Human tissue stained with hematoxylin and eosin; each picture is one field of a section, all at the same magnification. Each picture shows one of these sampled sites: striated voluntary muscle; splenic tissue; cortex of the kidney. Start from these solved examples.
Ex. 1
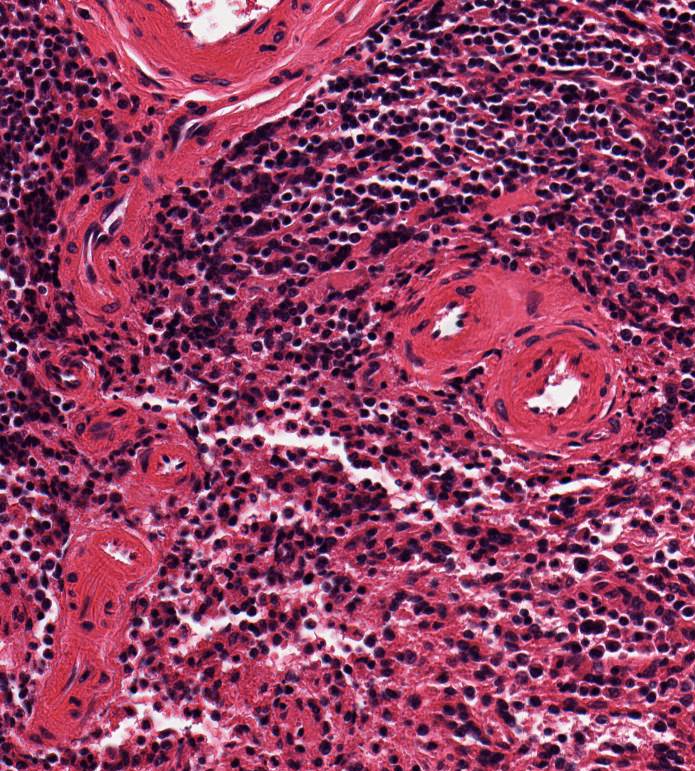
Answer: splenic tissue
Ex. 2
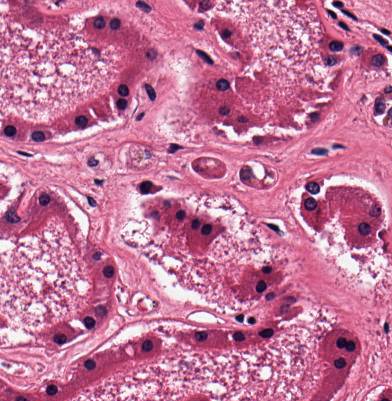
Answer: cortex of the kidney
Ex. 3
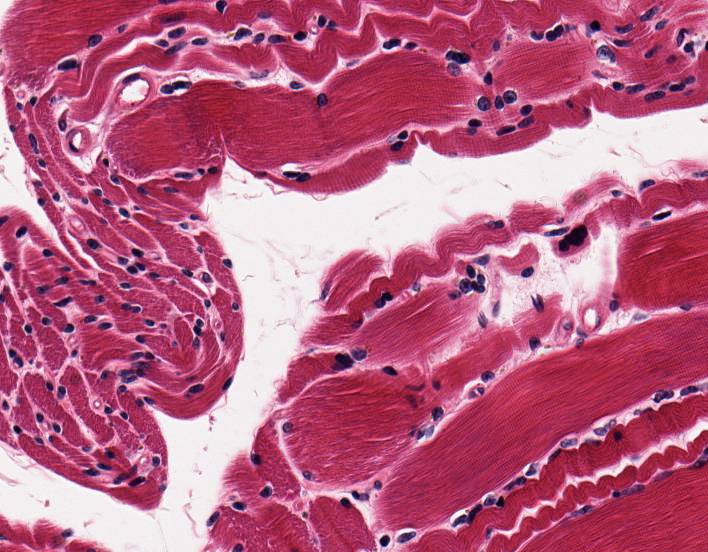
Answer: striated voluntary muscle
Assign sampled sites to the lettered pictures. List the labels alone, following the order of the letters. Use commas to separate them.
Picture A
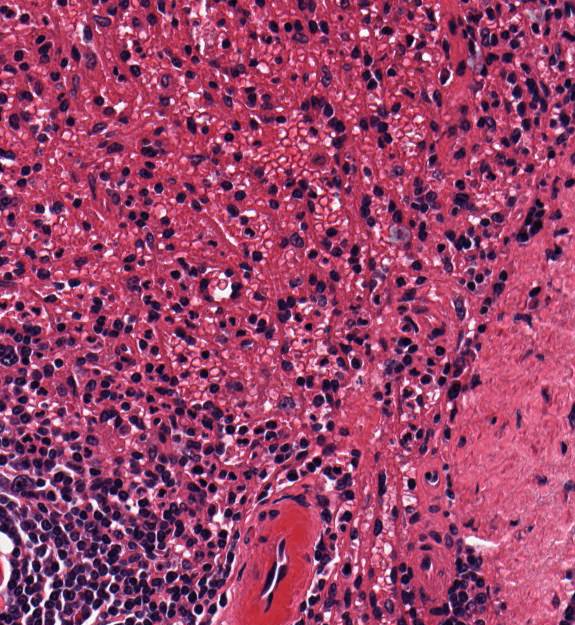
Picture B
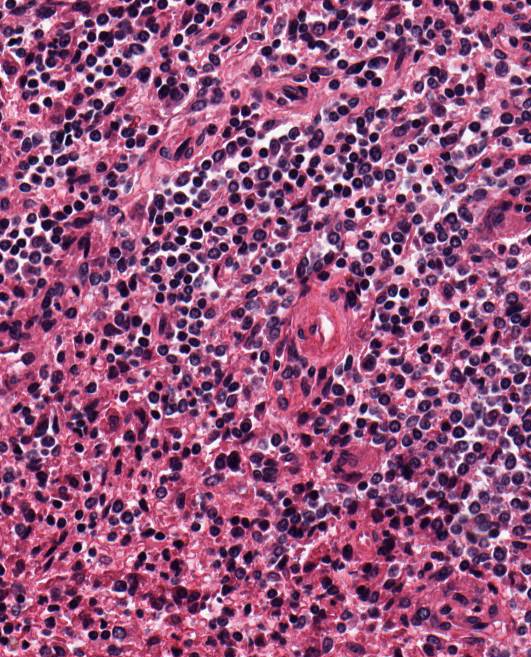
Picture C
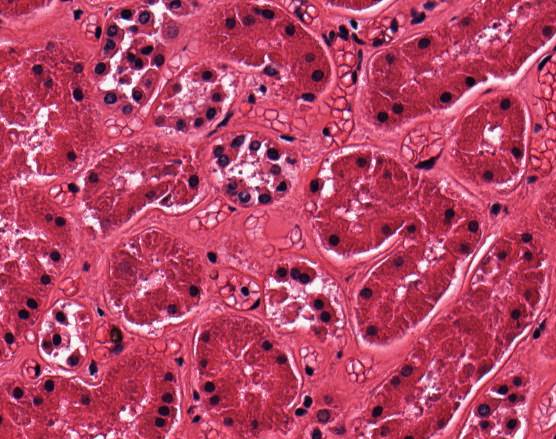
splenic tissue, splenic tissue, cortex of the kidney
